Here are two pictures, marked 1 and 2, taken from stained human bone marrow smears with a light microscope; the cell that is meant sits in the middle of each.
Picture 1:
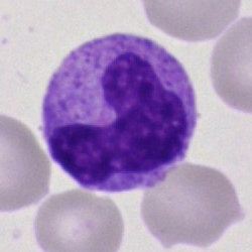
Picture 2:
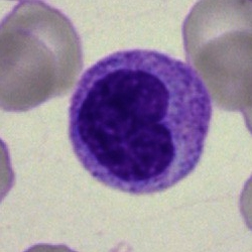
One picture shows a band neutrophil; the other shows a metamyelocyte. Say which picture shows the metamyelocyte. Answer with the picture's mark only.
2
